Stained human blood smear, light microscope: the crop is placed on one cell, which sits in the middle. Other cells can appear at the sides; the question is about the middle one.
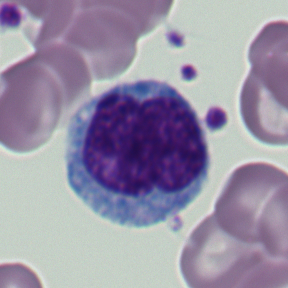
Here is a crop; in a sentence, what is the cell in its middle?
At the center of the crop sits a monocyte.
